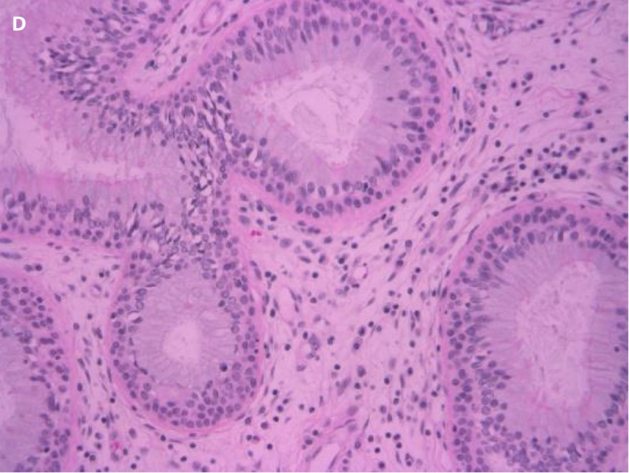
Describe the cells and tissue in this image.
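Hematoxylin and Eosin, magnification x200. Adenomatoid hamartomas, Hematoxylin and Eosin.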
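Several rounded glands are lined by pseudostratified ciliated respiratory epithelium made of tall columnar cells. Their oval nuclei sit at different heights, and the apical cytoplasm is pale pink toward the lumen. The lumens hold pale pink material. Around each gland lies a pink rim, and beyond that is loose stroma with scattered small dark nuclei of inflammatory cells and spindle-shaped stromal cells.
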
